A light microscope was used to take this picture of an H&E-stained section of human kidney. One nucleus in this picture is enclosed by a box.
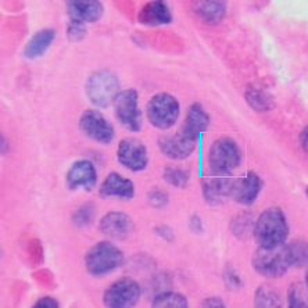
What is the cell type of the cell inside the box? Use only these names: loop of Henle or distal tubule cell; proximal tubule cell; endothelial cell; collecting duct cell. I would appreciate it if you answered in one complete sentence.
The category to which the cell inside the box belongs is that of a collecting duct cell.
